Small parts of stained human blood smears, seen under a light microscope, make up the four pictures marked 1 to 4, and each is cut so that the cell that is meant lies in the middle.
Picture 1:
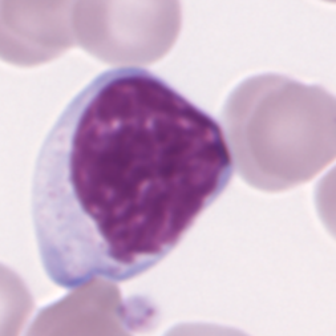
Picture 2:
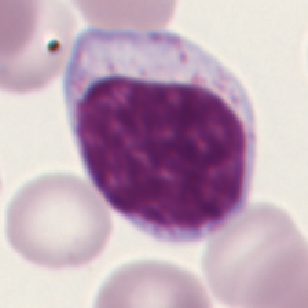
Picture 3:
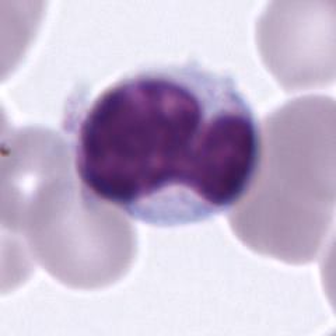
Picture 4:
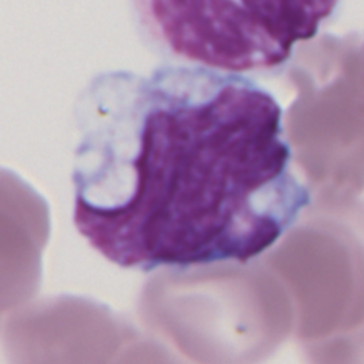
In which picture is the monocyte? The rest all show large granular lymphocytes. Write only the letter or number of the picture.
4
